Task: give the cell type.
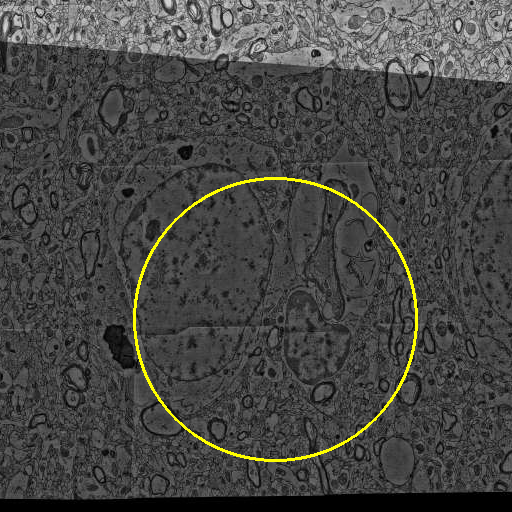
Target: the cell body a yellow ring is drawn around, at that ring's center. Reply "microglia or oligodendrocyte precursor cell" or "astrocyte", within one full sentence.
In this picture, the cell whose body lies at the ring's center is a microglial cell or oligodendrocyte precursor cell.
